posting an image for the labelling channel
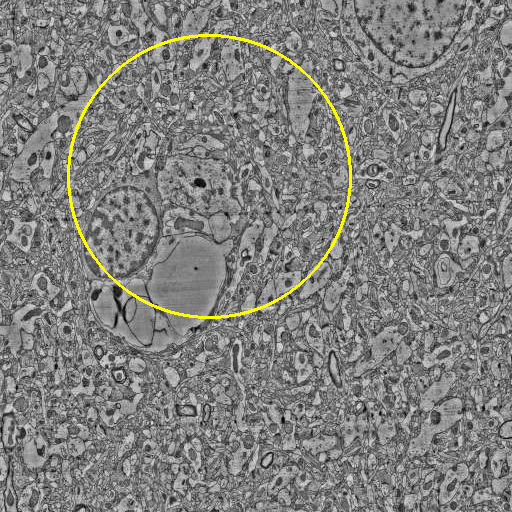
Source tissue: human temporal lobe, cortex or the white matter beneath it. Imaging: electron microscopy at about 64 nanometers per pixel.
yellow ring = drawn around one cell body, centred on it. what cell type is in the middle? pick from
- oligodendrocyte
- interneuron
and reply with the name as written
interneuron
